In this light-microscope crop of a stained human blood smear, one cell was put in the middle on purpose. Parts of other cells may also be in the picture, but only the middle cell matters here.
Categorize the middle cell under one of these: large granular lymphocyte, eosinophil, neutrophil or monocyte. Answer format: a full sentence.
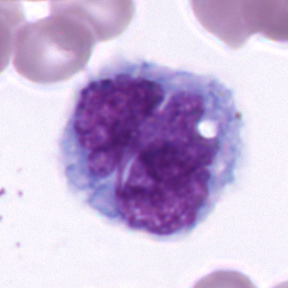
The middle cell in this particular crop is a monocyte.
